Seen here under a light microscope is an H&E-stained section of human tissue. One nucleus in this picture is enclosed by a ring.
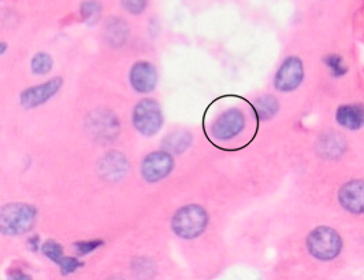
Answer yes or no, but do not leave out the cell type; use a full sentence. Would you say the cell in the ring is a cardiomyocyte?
No, a cardiomyocyte is not what the cell in the ring is; it is a loop of Henle or distal tubule cell.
